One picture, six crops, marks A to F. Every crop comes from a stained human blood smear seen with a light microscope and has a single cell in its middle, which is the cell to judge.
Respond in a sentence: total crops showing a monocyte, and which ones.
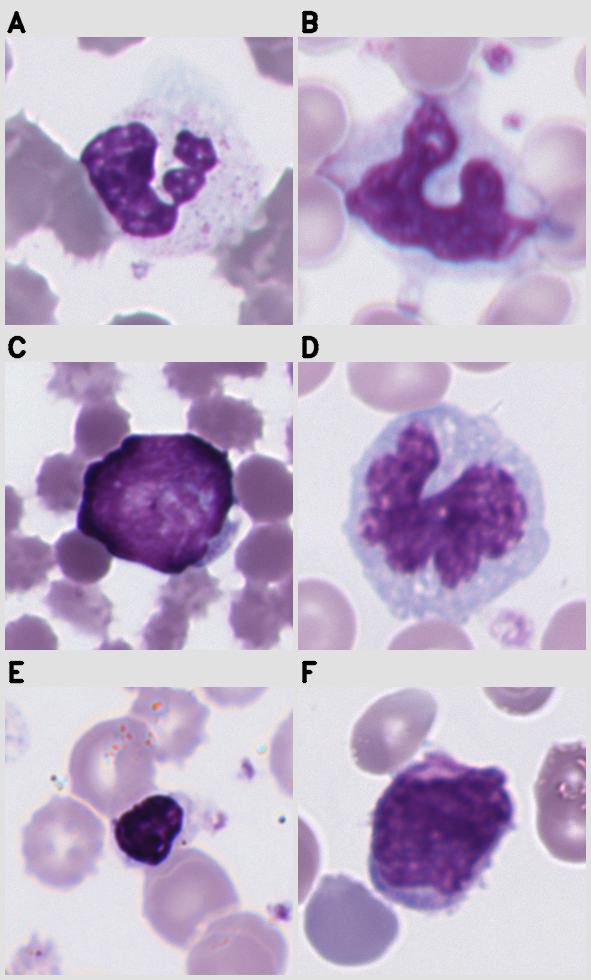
In two of the crops, namely B and D, the cell shown belongs to the monocytes.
